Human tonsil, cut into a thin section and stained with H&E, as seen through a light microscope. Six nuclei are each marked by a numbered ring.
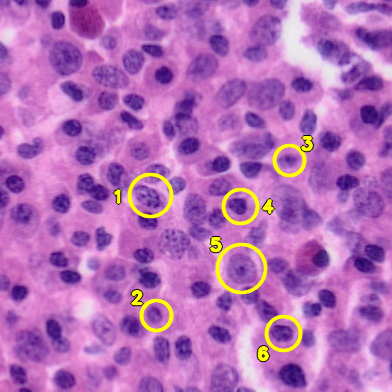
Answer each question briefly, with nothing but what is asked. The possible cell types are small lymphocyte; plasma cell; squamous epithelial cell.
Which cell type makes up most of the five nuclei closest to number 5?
plasma cell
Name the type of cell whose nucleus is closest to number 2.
plasma cell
